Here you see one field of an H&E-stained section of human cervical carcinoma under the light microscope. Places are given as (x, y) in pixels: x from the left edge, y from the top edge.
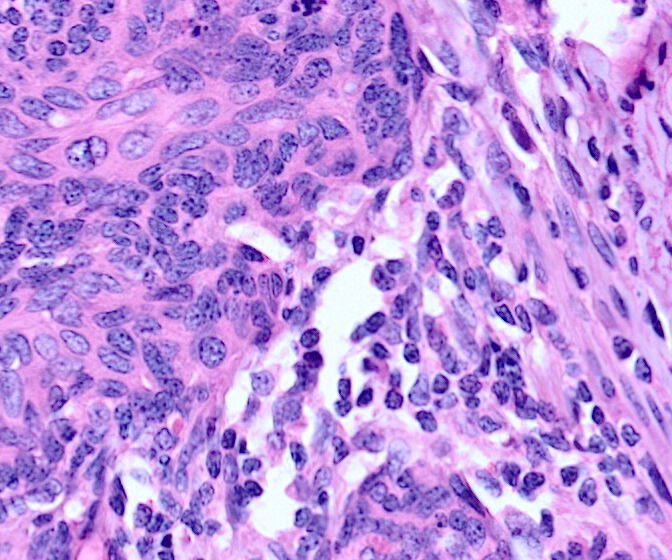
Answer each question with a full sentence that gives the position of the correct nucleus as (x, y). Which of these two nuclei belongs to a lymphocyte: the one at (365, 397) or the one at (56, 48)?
It is at (365, 397) that the nucleus of a lymphocyte is found.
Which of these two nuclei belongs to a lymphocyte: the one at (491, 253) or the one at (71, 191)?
Lying within a lymphocyte is the nucleus at (491, 253).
